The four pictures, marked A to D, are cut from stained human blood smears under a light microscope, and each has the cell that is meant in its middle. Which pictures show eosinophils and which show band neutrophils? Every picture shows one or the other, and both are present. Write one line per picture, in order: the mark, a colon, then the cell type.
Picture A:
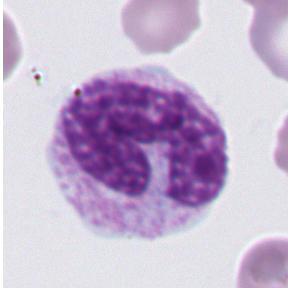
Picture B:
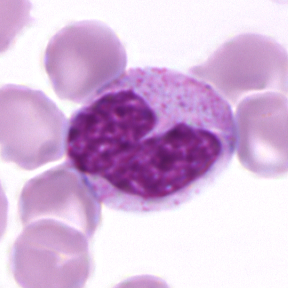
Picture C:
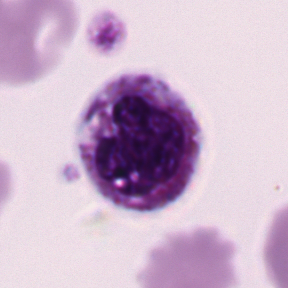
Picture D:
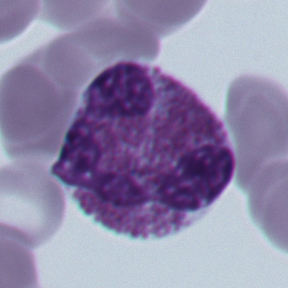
A: band neutrophil
B: band neutrophil
C: eosinophil
D: eosinophil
